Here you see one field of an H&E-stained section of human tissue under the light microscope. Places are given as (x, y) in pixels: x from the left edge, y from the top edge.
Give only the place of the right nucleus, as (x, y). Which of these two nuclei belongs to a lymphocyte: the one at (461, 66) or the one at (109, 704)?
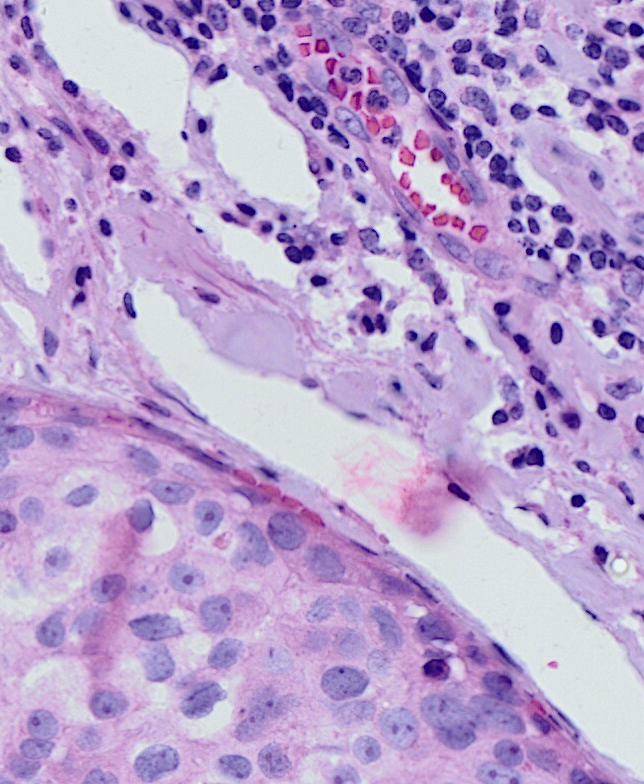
(461, 66)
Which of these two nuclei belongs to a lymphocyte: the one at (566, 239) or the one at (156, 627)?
(566, 239)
